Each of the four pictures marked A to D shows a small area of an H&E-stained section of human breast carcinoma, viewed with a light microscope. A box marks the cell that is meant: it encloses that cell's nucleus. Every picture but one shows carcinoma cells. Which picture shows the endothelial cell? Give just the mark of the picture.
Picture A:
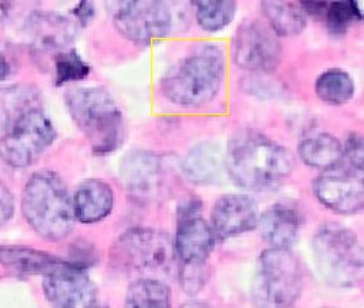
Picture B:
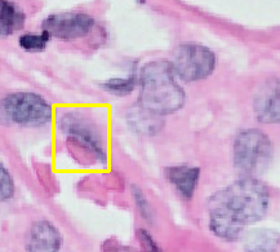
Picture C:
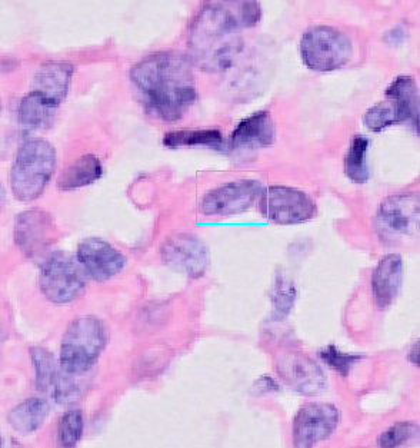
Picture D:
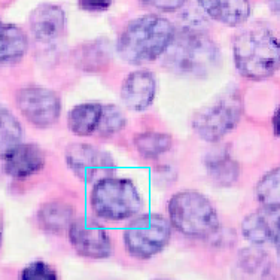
B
